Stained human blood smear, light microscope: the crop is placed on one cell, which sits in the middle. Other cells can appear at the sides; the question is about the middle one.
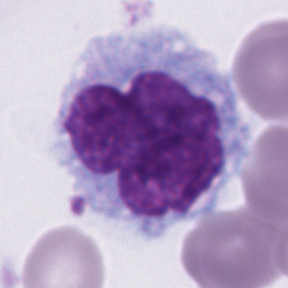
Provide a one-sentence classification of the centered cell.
Classification of the middle cell gives a monocyte.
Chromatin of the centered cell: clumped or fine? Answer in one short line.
The chromatin is fine throughout, without coarse clumps.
